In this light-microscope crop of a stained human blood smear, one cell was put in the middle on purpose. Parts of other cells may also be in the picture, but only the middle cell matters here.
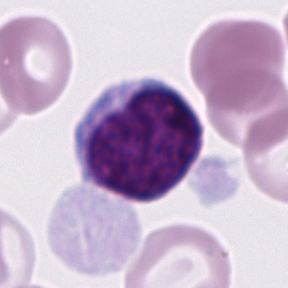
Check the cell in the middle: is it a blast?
no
